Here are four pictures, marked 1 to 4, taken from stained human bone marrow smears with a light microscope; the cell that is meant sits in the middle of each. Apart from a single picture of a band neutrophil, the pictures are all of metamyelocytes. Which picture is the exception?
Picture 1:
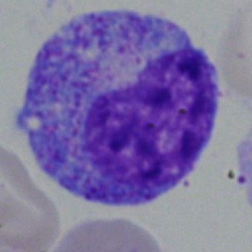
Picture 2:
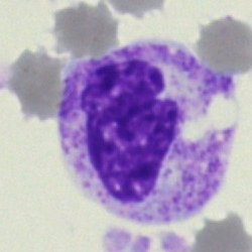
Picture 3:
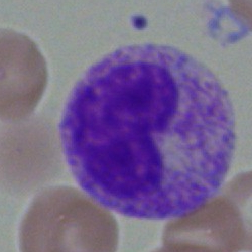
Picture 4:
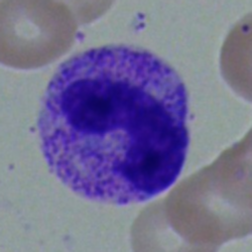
4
